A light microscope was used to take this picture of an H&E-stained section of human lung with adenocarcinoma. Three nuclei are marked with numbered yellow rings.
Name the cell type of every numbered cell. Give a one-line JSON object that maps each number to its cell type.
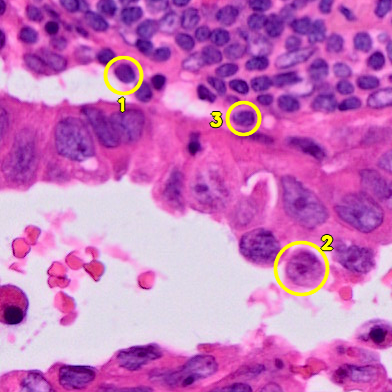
{"1": "lymphocyte", "2": "carcinoma cell", "3": "lymphocyte"}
